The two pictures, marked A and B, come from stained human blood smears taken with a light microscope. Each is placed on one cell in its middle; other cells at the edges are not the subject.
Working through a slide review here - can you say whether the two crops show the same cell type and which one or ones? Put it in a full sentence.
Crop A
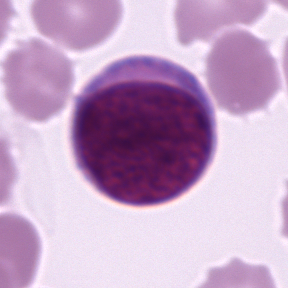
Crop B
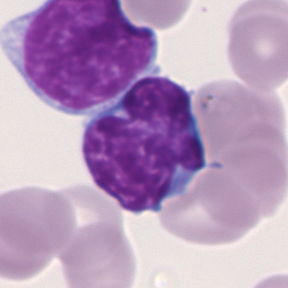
No, crop B holds a large granular lymphocyte, while crop A holds a myeloblast.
